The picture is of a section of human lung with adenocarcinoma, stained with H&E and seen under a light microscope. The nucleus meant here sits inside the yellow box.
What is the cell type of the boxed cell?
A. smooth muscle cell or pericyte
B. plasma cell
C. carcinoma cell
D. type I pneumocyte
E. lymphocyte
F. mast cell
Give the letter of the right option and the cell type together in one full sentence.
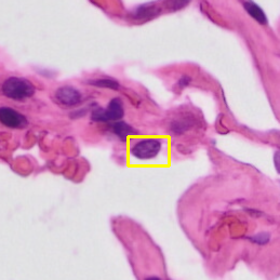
Here the right answer is D, with the boxed cell being a type I pneumocyte.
